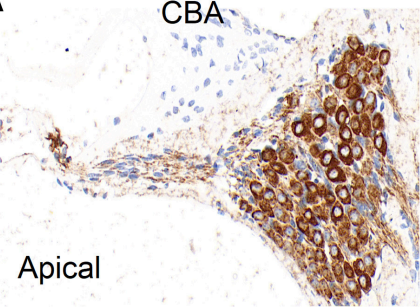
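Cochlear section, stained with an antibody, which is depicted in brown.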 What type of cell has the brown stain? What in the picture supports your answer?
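Large round cell bodies with brown cytoplasm are packed in a triangular cluster. Each brown cell body holds a round pale nucleus. A band of fibres leaves the cluster towards the left.
Conclusion: spiral ganglion neurons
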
